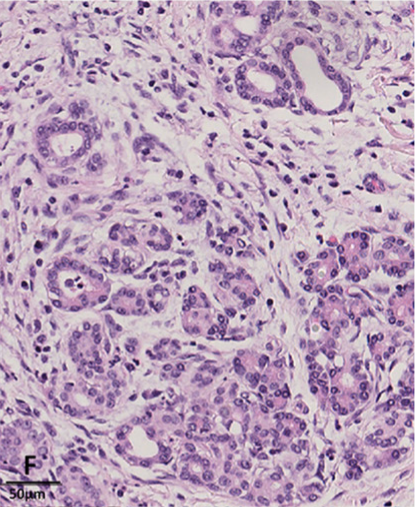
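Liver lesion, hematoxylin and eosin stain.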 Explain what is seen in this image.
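Glandular tissue resembling pancreas parenchyma, made of small acini and ducts scattered through a fibrous stroma. The acini are rounded clusters of cuboidal to pyramidal cells with round, basally placed nuclei and pink to purplish cytoplasm, gathered around tiny central lumina. Several larger ducts with open, empty lumina are lined by a single layer of cuboidal cells. Between the glandular units lies pale, loose connective tissue holding elongated, spindle-shaped nuclei of fibroblasts.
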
